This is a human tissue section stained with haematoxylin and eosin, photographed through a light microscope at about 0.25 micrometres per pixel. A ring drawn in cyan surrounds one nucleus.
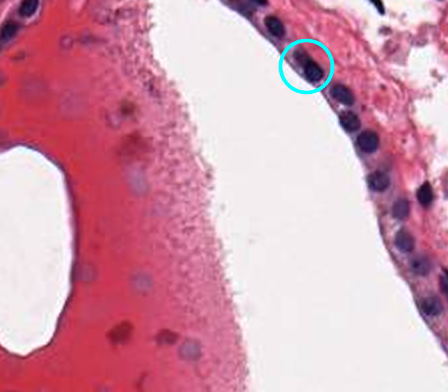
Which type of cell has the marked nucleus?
thyroid follicular cell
